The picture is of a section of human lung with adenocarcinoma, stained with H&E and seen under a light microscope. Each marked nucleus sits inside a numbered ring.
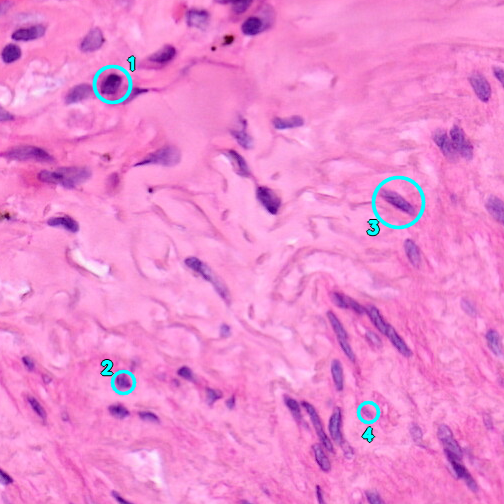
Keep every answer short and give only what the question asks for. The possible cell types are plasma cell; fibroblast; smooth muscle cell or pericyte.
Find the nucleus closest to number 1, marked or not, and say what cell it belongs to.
fibroblast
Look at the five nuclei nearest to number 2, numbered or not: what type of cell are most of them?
smooth muscle cell or pericyte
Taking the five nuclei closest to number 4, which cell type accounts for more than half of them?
smooth muscle cell or pericyte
